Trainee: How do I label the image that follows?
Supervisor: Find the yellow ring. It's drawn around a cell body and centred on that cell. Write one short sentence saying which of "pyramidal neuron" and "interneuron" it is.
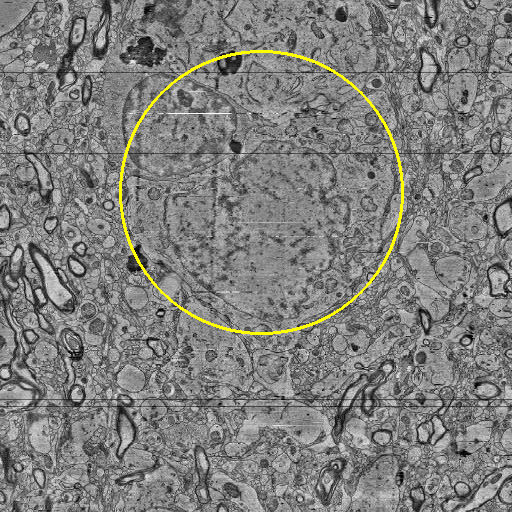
This is the cell body of an interneuron.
